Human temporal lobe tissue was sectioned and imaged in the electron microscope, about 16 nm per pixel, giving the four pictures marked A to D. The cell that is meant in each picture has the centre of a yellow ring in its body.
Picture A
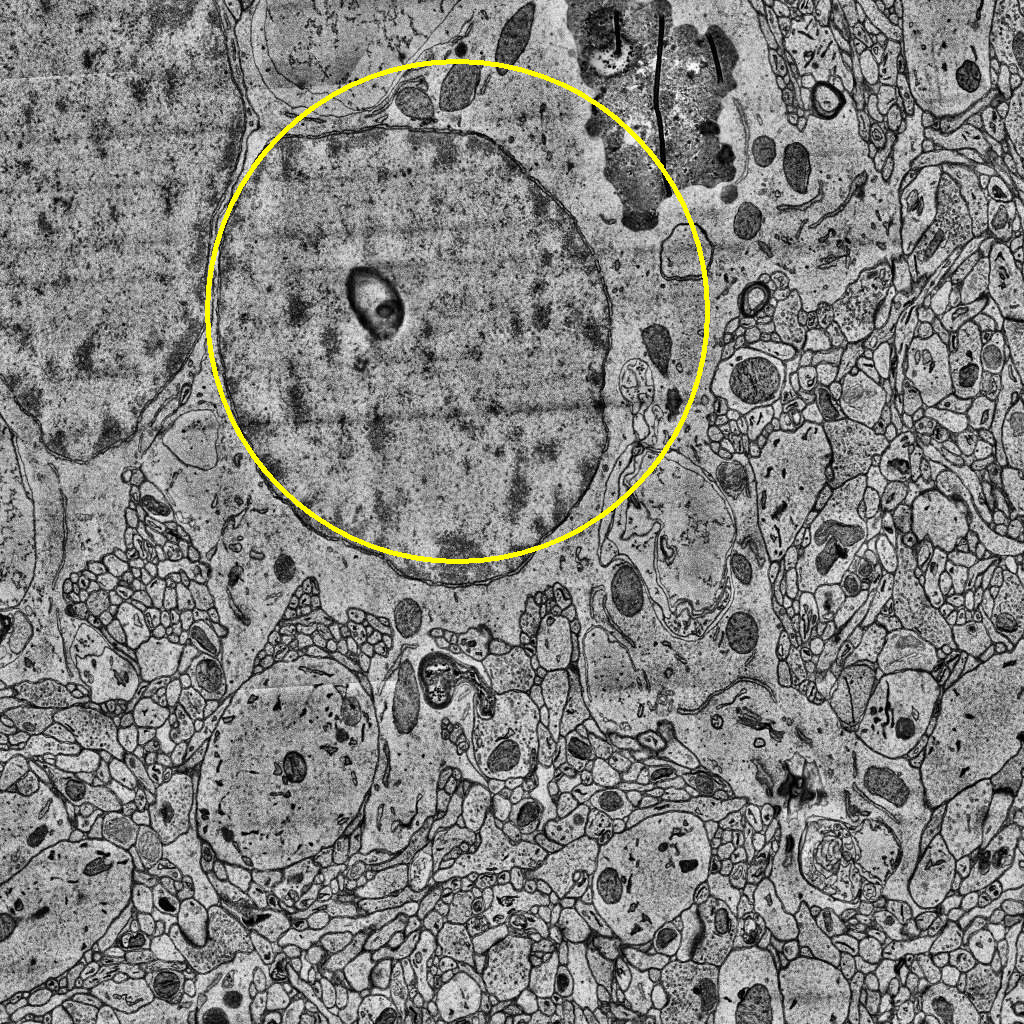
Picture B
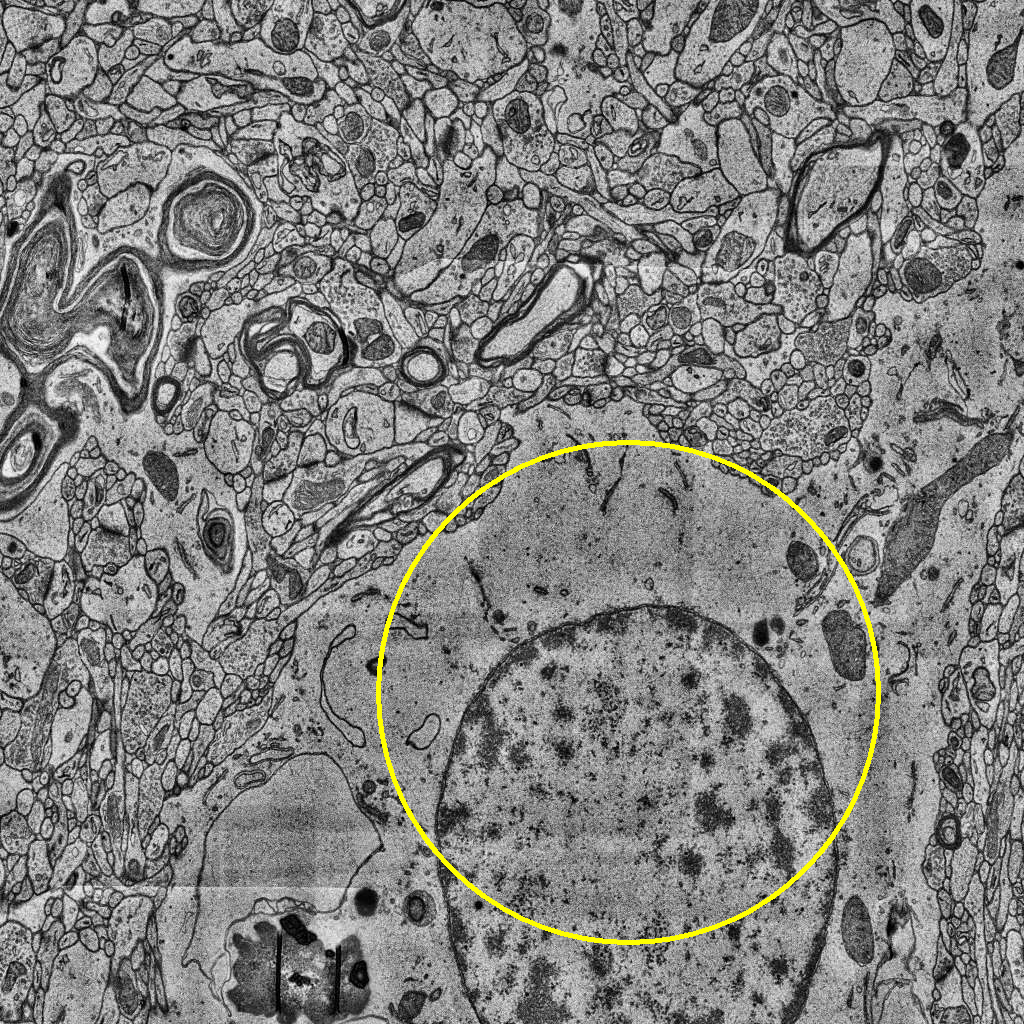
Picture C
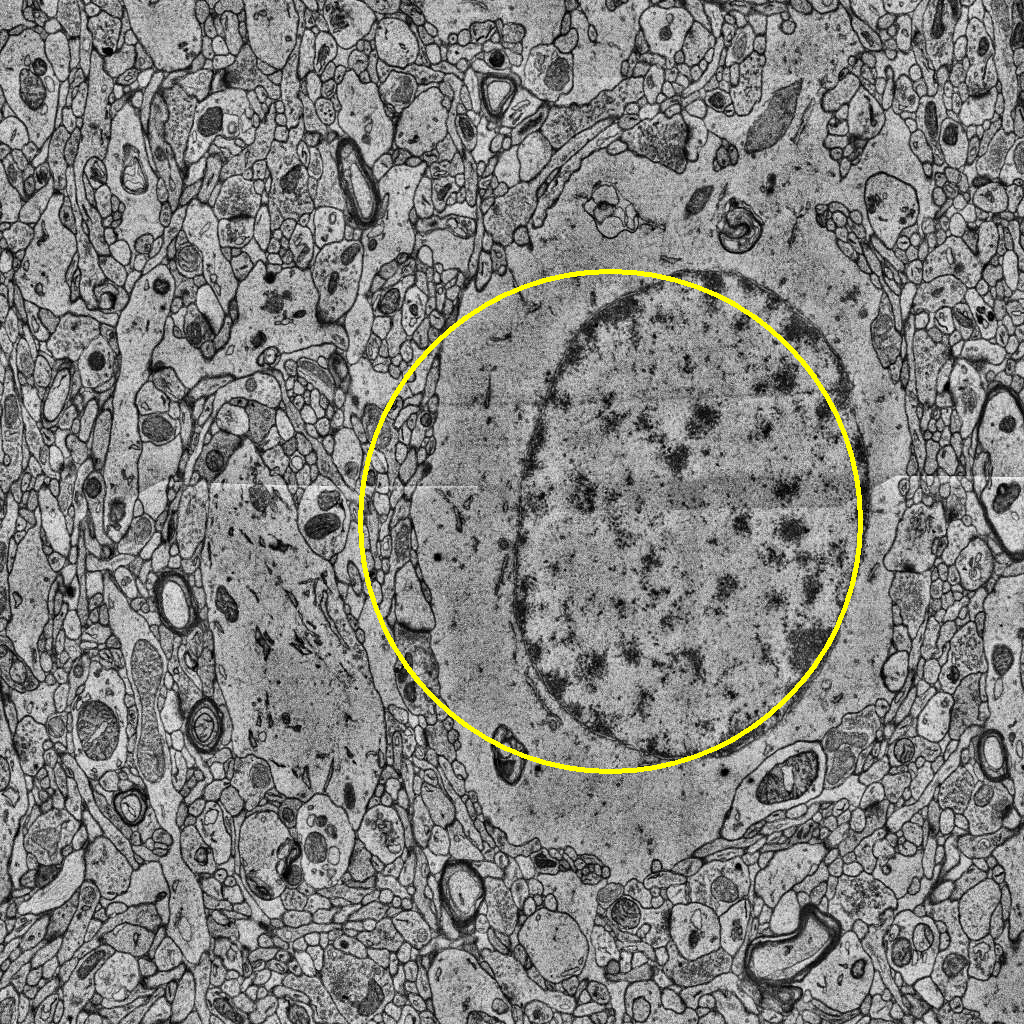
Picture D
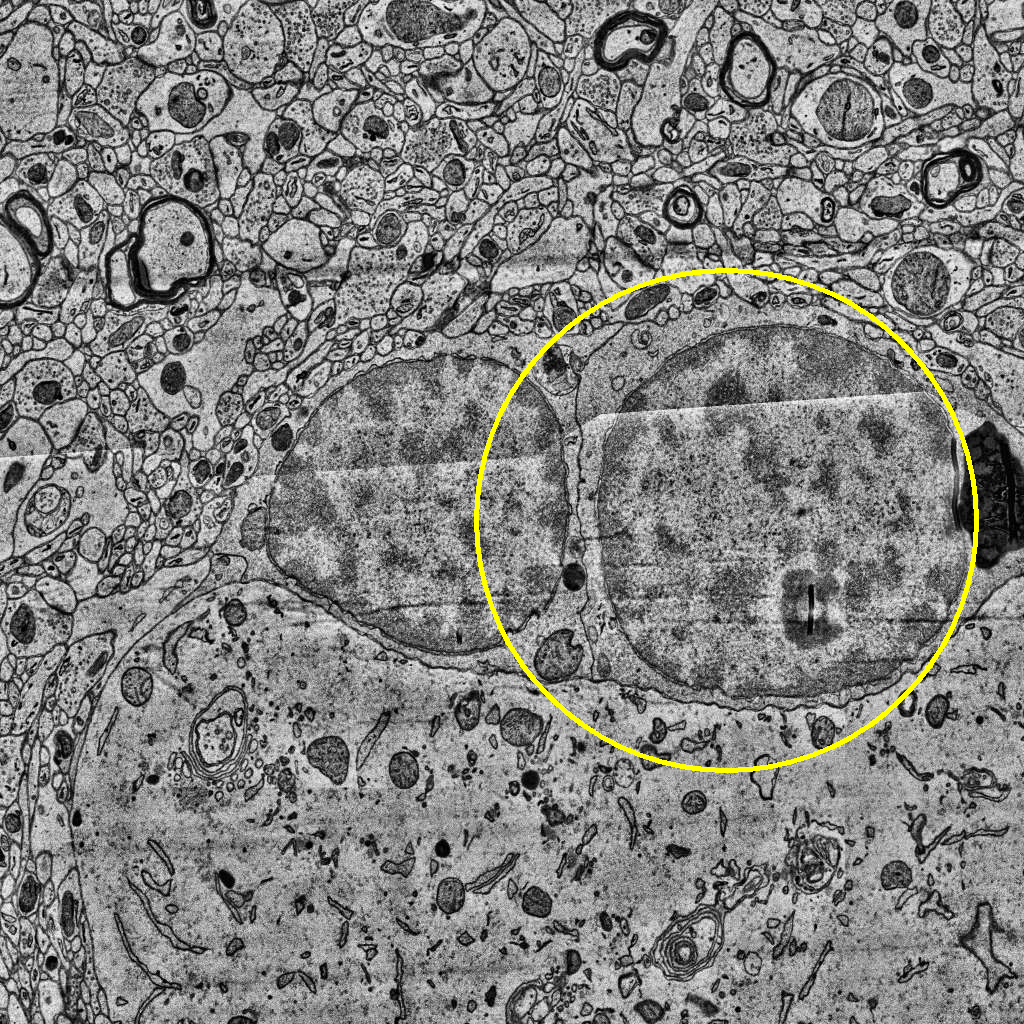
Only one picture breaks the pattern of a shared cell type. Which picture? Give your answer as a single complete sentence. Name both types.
Picture D differs, because its cell is an oligodendrocyte and the rest are astrocytes.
